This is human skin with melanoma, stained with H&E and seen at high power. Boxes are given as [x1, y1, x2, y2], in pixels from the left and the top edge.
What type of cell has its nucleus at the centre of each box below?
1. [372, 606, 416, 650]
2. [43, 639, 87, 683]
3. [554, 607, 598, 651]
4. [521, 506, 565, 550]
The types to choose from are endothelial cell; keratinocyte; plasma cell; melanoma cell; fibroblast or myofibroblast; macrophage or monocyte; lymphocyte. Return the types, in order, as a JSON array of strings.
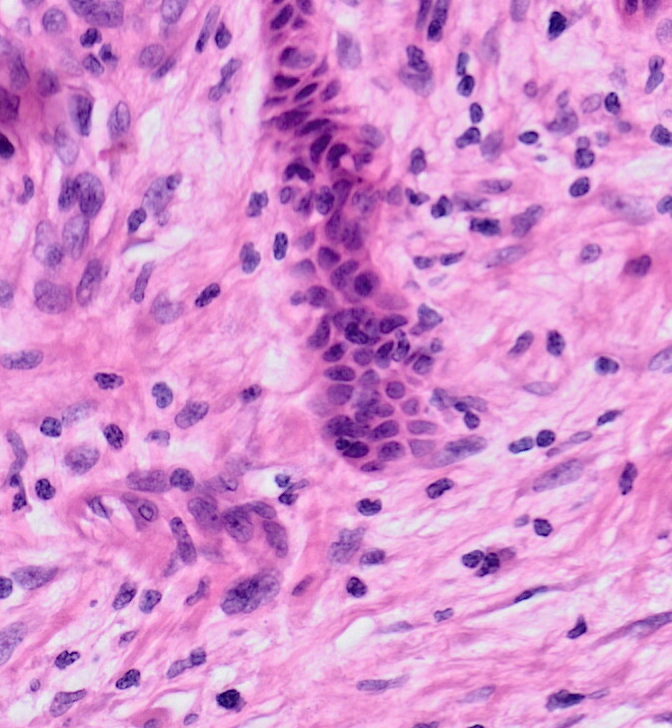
["fibroblast or myofibroblast", "lymphocyte", "lymphocyte", "lymphocyte"]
